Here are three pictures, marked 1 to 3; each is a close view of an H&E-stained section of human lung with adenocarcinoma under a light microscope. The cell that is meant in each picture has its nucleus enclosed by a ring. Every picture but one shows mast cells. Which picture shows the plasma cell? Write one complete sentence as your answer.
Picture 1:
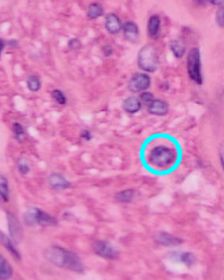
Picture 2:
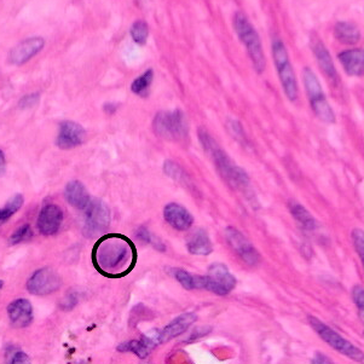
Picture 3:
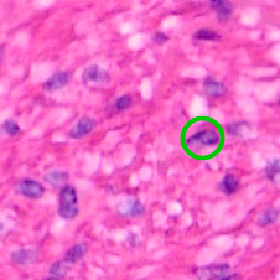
Picture 2 is the one that shows the plasma cell.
